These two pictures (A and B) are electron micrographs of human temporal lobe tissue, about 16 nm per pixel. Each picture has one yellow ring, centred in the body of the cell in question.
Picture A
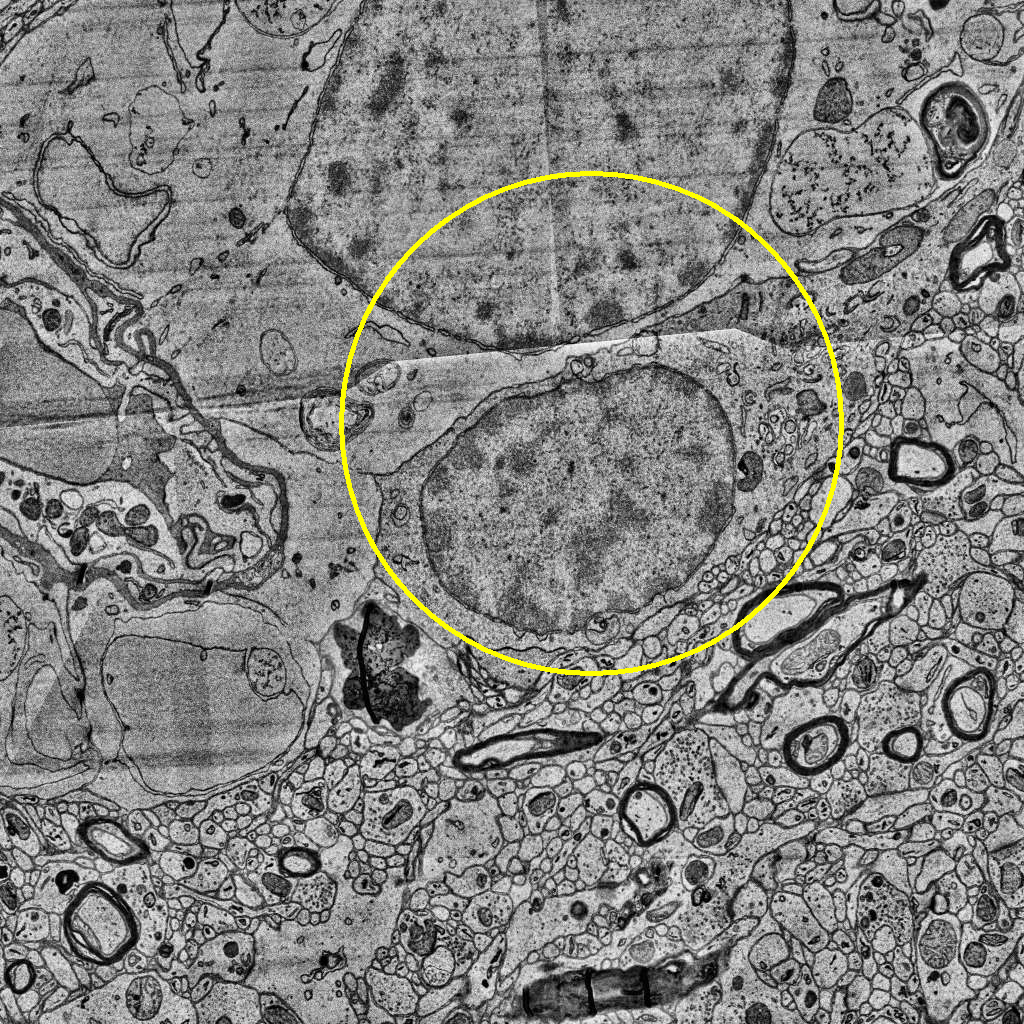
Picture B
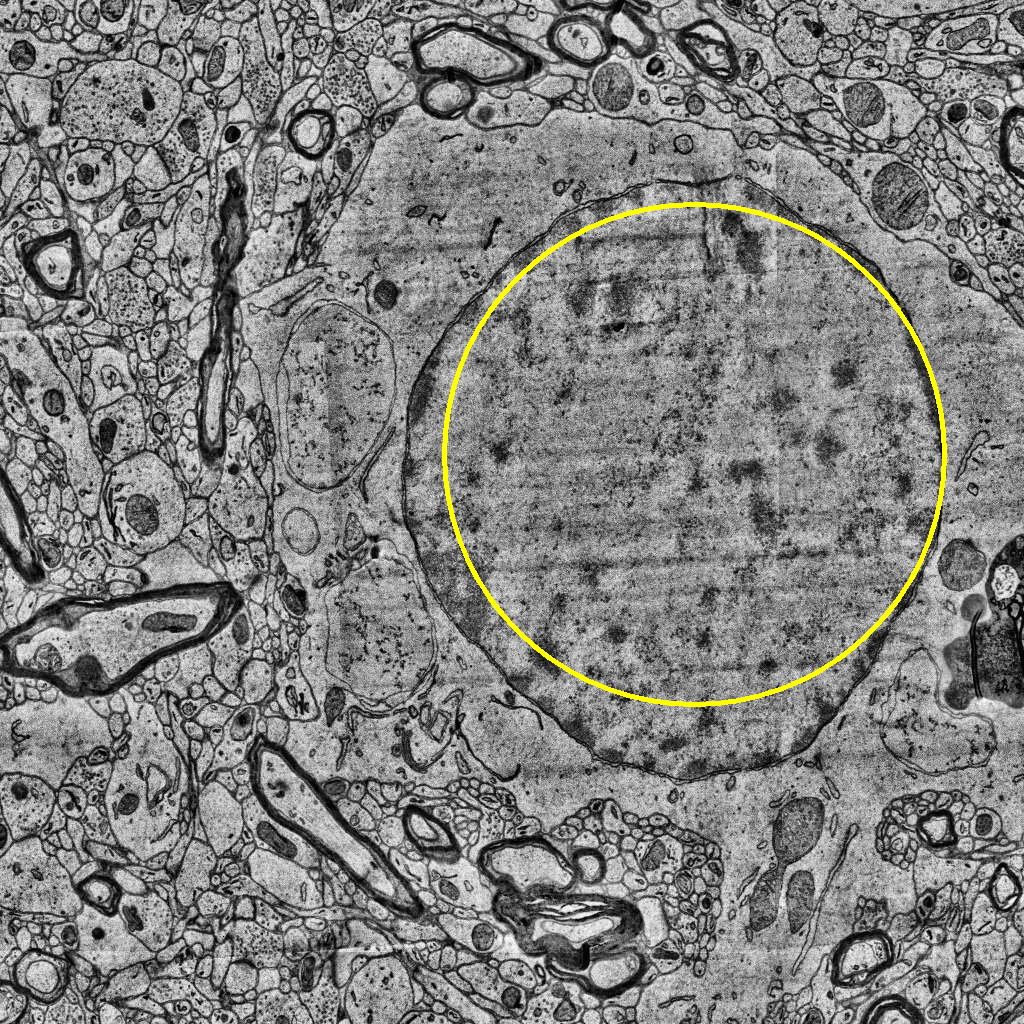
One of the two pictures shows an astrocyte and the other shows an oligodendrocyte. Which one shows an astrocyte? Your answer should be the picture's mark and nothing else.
B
